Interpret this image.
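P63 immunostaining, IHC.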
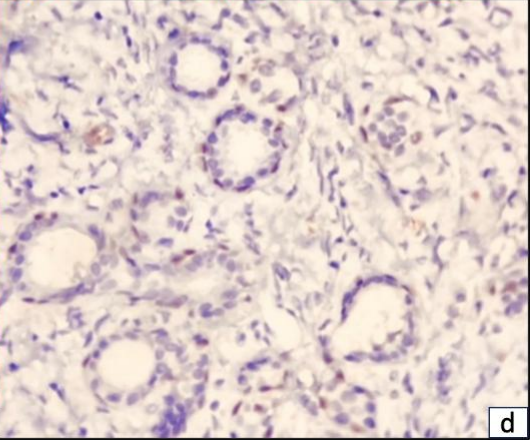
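Between the tubules lies loose, pale stroma with scattered spindle-shaped blue nuclei. The brown staining is patchy and fairly faint, but it sits at the periphery of the tubules rather than at the lumen.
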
